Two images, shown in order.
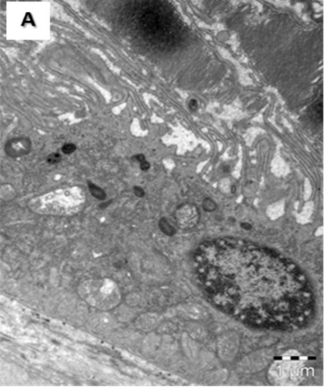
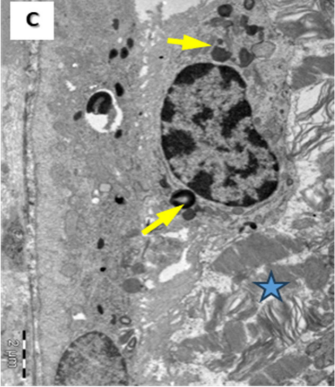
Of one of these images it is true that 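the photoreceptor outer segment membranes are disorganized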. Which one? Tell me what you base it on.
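Second image: the membranous stacks at lower right are broken into disordered fragments. First image: the outer segment membranes at the top run in regular parallel stacks.
The second image.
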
